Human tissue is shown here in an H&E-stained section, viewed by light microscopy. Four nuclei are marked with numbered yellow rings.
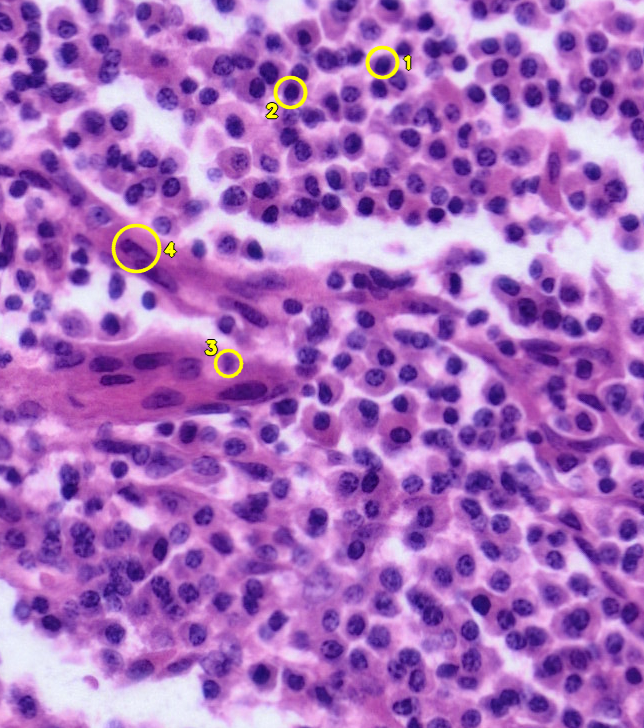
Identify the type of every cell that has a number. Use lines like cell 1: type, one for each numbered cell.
cell 1: plasma cell
cell 2: plasma cell
cell 3: squamous epithelial cell
cell 4: squamous epithelial cell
